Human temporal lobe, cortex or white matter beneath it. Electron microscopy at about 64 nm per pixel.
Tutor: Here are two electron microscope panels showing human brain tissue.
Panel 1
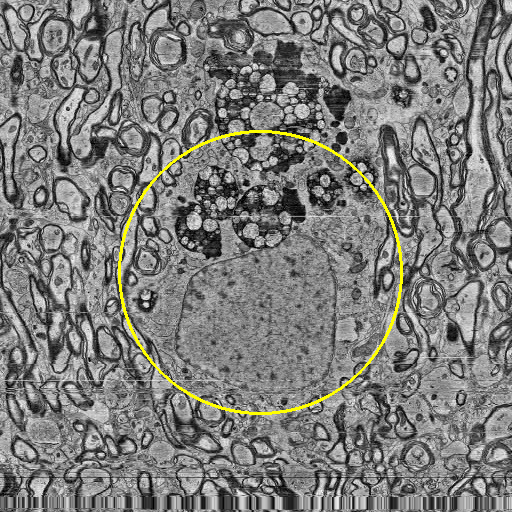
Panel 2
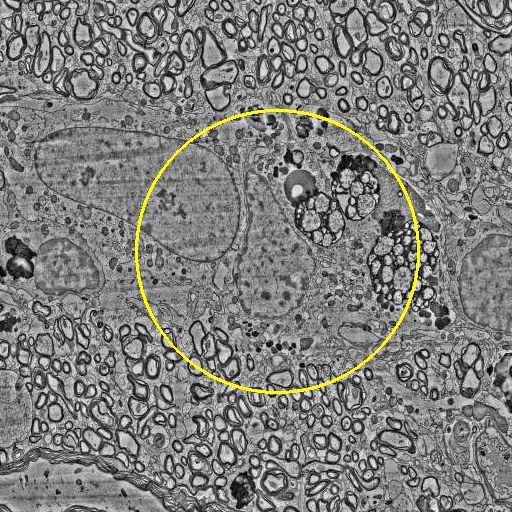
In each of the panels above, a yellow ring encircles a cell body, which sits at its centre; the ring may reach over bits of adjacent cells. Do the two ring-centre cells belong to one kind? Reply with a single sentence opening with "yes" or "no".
Yes, the two cells sitting at the ring centres in the panels belong to one kind.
